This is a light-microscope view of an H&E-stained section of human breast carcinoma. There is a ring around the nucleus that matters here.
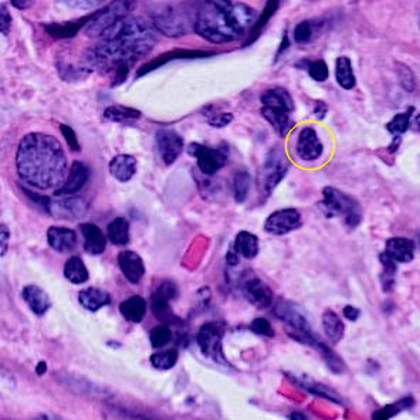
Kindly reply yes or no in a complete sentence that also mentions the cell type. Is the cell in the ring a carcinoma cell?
No, it is a lymphocyte, not a carcinoma cell, that the cell in the ring represents.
